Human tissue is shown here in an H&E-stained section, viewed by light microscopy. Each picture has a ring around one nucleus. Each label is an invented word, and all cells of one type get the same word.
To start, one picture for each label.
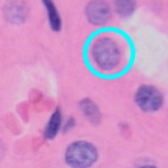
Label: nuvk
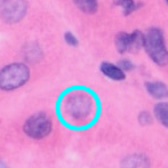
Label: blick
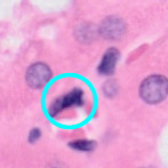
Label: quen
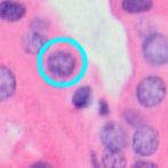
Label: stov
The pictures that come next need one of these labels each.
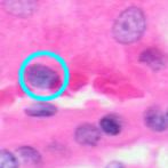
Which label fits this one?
quen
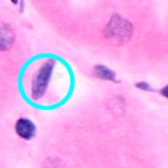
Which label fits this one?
quen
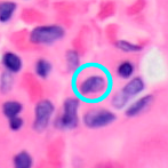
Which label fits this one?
quen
